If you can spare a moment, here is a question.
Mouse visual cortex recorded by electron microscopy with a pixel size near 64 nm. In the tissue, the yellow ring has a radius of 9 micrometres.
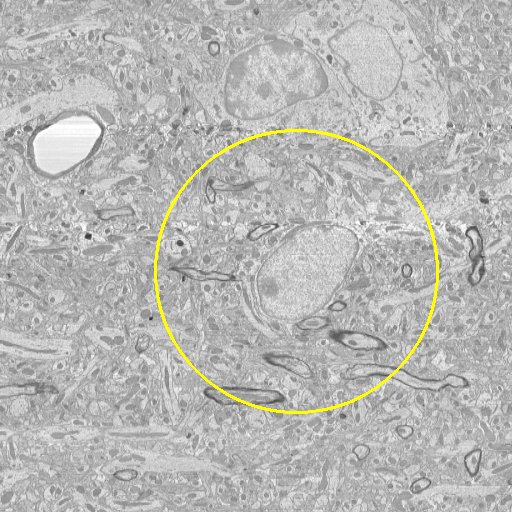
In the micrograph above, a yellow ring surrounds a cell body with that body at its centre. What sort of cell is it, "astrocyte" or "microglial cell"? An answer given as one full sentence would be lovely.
Centred inside the yellow ring, the cell body shown belongs to an astrocyte in this micrograph.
